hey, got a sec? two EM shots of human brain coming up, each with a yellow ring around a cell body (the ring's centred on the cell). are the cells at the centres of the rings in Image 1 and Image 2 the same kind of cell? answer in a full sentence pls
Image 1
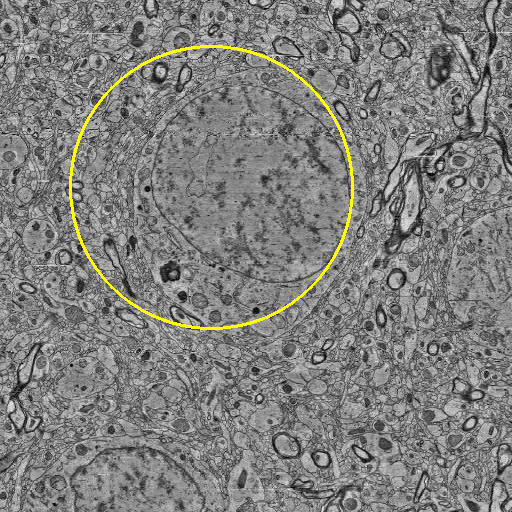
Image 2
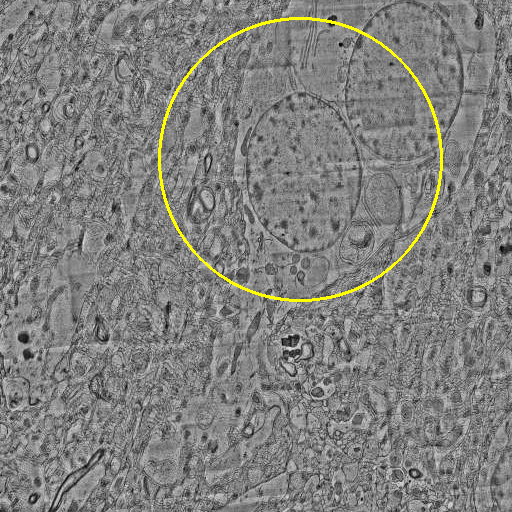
No, they are two kinds of cell.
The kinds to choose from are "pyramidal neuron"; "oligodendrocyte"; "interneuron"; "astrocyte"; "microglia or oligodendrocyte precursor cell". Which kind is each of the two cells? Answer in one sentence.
Of the two, the first cell is a pyramidal neuron and the second cell is an astrocyte.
